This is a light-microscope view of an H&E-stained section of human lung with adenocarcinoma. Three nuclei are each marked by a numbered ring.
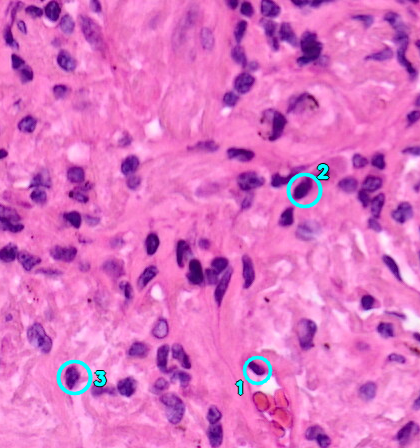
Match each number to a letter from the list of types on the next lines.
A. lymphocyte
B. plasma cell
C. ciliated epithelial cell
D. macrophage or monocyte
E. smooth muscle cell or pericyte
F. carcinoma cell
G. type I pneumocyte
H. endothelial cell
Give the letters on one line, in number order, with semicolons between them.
H; B; A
